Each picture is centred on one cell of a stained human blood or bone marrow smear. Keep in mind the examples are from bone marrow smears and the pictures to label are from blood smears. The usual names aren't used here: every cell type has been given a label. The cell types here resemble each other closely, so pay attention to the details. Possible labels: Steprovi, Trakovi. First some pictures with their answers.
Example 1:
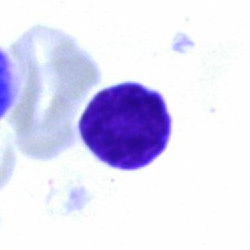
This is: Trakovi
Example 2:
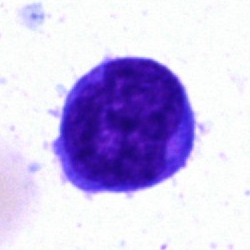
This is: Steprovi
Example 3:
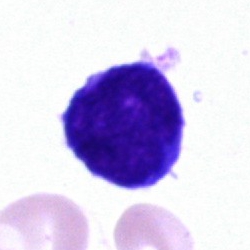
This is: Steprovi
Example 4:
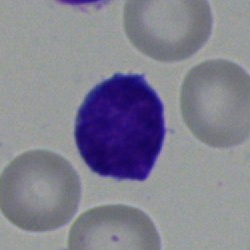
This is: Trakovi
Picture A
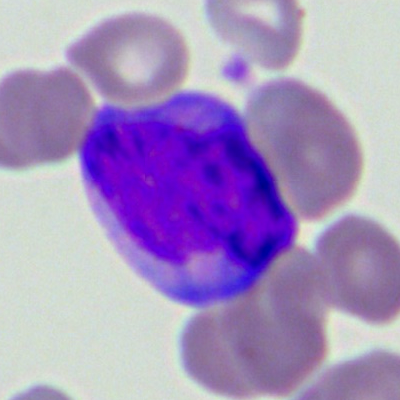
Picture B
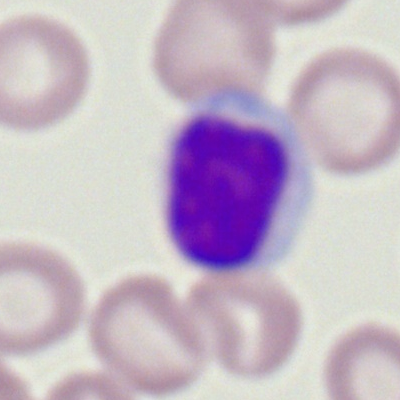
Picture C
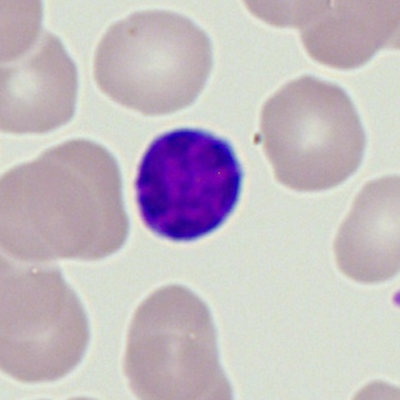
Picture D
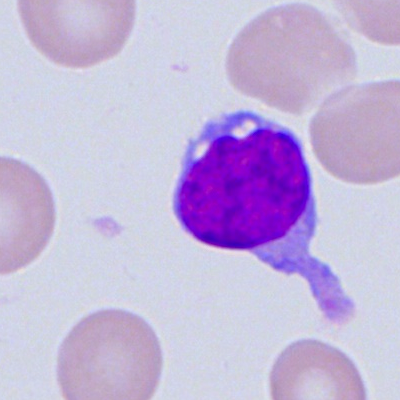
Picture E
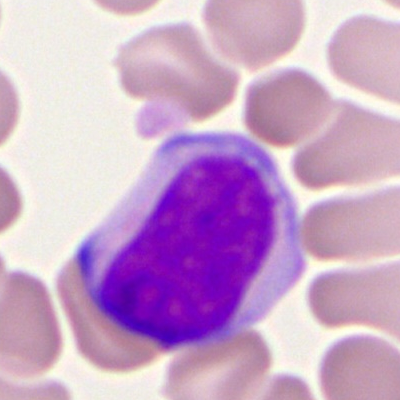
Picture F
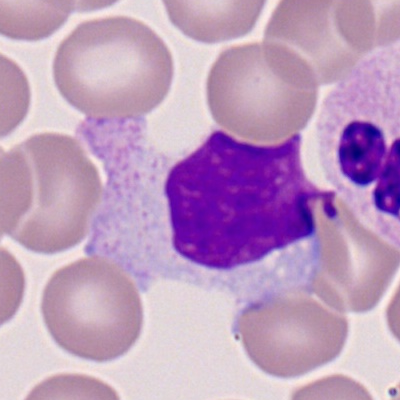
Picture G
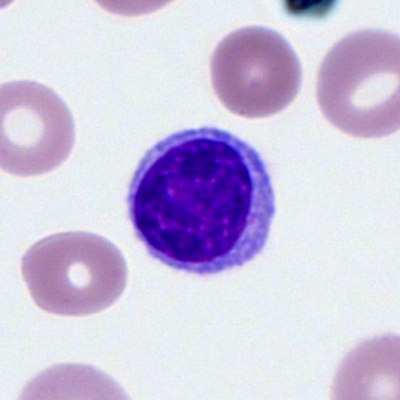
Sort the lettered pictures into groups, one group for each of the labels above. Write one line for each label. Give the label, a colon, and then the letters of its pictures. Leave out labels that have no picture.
Steprovi: A, E
Trakovi: B, C, D, F, G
